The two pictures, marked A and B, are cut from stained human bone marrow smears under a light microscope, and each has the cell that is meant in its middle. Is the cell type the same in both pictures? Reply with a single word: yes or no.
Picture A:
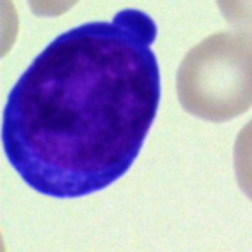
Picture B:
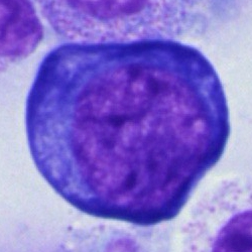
yes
